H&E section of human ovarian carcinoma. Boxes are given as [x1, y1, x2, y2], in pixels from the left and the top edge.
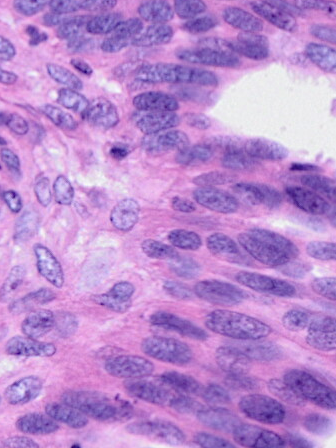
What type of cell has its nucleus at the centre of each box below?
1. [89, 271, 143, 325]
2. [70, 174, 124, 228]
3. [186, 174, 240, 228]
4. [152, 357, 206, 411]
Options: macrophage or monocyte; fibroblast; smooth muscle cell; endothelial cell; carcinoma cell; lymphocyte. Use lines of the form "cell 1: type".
cell 1: fibroblast
cell 2: fibroblast
cell 3: carcinoma cell
cell 4: carcinoma cell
